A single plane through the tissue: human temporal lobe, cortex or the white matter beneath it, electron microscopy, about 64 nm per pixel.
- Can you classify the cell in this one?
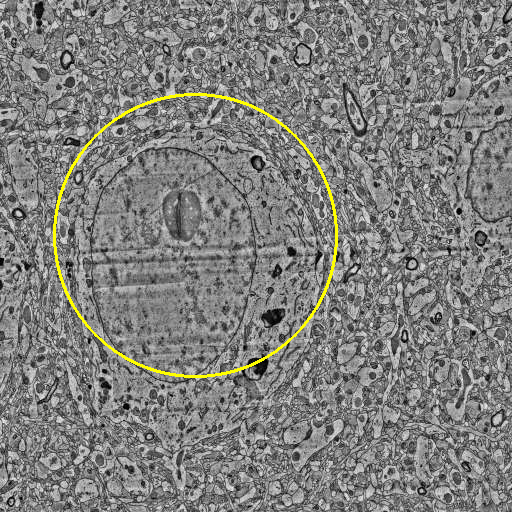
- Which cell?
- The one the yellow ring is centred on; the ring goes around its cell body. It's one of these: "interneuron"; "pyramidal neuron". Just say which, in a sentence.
The cell body in the ring belongs to a pyramidal neuron.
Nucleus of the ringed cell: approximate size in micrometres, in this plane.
The nucleus appears roughly 15 by 11 micrometres in this plane.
